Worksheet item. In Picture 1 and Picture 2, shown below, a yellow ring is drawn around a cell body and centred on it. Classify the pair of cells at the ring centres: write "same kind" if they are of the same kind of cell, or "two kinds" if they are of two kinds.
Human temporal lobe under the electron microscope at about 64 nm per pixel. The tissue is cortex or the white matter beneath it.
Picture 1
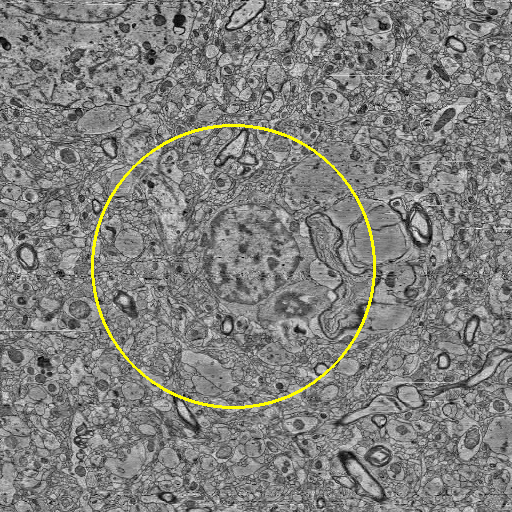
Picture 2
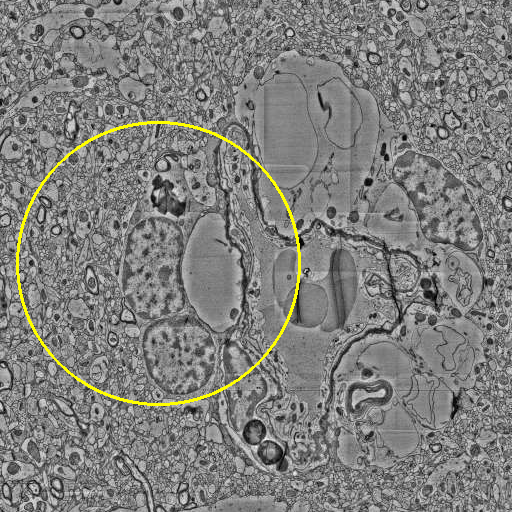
same kind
